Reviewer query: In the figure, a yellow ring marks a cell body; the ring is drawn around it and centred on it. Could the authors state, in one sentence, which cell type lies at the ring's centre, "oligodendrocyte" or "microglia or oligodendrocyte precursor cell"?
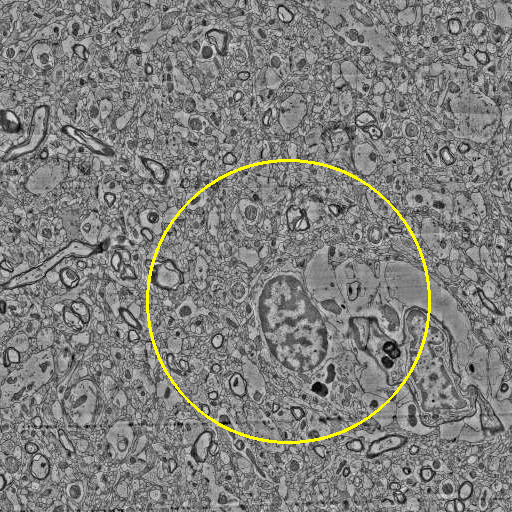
The ring is centred on a microglial cell or oligodendrocyte precursor cell.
